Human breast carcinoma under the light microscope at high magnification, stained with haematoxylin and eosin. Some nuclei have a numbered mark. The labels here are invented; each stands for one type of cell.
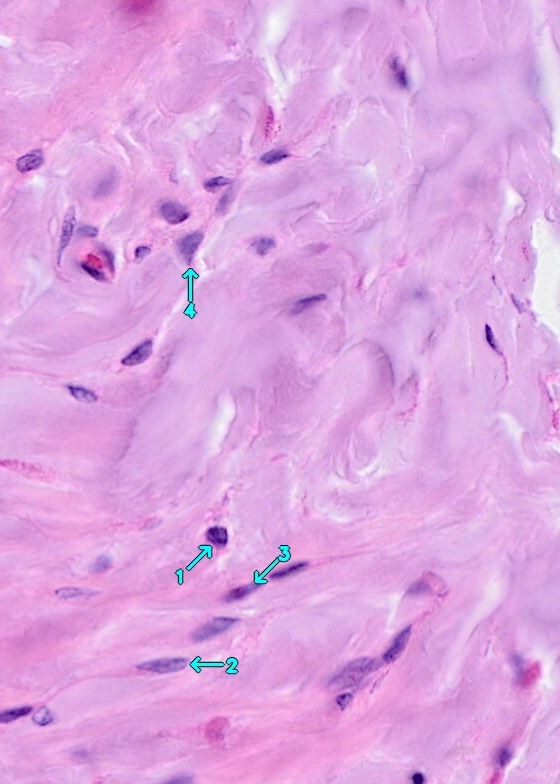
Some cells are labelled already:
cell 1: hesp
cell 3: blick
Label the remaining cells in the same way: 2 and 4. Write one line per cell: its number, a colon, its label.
2: blick
4: blick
